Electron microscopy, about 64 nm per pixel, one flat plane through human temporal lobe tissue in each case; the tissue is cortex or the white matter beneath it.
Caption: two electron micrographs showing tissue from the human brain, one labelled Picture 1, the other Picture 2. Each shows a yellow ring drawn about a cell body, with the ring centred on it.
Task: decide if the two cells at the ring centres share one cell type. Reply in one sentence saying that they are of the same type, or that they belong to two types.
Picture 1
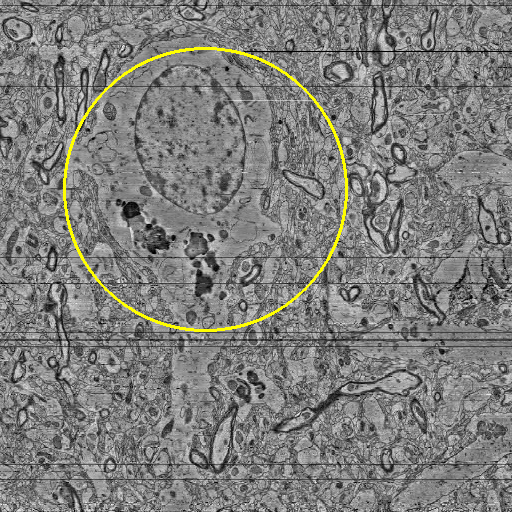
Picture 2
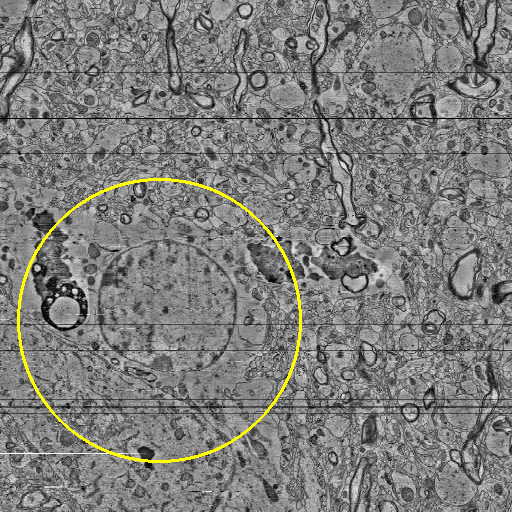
The cells at the ring centres in Picture 1 and Picture 2 are of the same type.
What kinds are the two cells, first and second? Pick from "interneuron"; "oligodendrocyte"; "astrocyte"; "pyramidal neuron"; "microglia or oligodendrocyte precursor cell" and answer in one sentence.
Each cell, in the first picture and the second, is an astrocyte.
